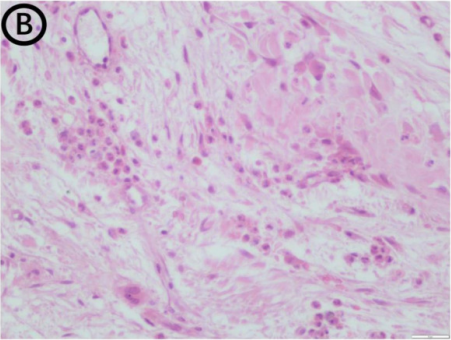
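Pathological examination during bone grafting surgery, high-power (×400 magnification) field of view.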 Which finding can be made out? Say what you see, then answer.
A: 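Small clusters of rounded cells with purple nuclei lie within the tissue. The surrounding tissue is loose, pale pink stroma with scattered elongated nuclei. The rounded cells are few and grouped in small foci rather than sheets. The answer: a few inflammatory cells infiltrating the soft tissue.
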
